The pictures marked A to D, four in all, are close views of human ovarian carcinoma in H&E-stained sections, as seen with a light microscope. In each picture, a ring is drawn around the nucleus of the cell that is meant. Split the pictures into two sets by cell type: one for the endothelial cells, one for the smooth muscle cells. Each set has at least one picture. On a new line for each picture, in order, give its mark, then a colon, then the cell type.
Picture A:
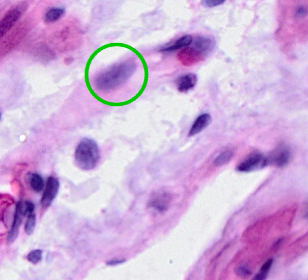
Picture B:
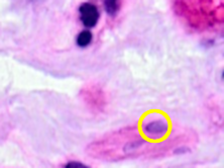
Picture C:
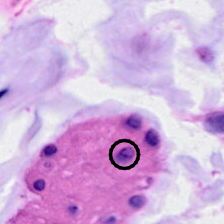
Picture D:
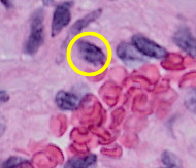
A: endothelial cell
B: smooth muscle cell
C: smooth muscle cell
D: endothelial cell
